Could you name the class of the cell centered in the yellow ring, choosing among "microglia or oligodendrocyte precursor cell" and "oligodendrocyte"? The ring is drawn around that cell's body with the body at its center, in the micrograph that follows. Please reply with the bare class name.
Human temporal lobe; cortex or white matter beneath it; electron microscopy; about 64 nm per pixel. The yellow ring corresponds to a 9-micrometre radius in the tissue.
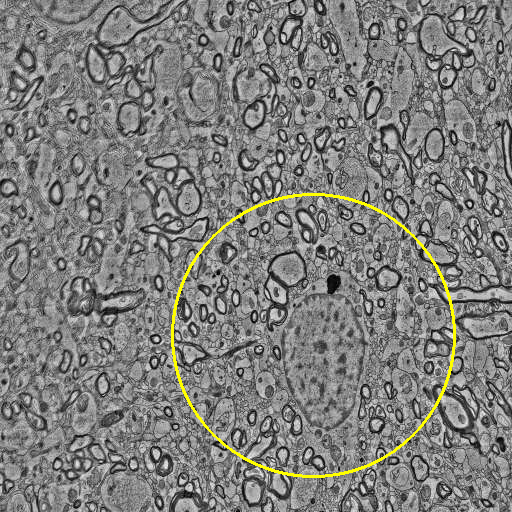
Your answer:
oligodendrocyte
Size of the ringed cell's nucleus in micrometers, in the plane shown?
The ringed cell's nucleus measures approximately 9 by 6 micrometres in this plane.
